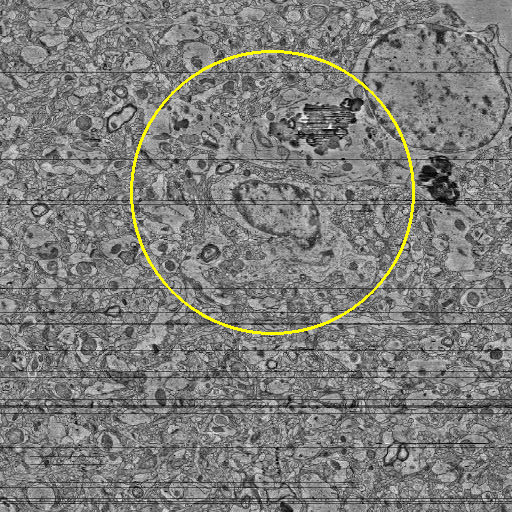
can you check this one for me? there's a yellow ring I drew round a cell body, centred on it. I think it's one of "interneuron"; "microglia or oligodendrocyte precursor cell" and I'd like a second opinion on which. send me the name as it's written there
microglia or oligodendrocyte precursor cell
